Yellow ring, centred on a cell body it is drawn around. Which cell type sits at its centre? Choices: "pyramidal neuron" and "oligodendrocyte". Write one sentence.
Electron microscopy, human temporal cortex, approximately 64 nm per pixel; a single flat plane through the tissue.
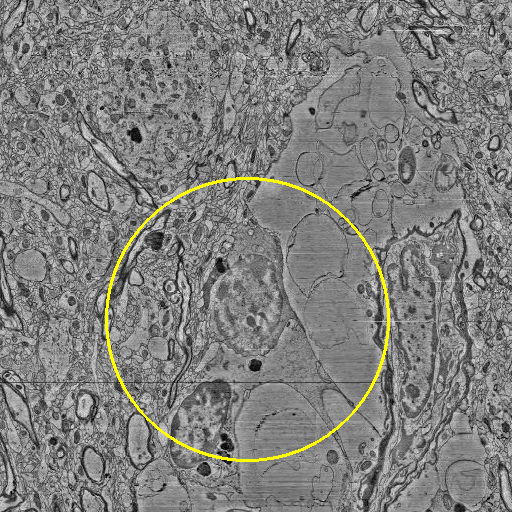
At the centre of the ring sits an oligodendrocyte.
